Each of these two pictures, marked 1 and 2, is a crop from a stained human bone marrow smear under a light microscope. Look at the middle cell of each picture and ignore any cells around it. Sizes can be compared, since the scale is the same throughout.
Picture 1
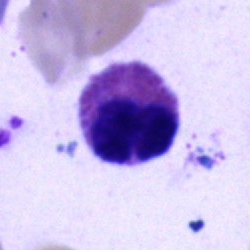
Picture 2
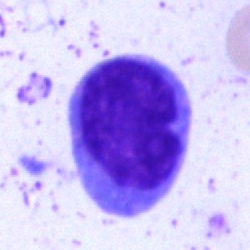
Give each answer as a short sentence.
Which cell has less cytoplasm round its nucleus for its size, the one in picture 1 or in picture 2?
It is the cell in picture 2 that is filled more by its nucleus.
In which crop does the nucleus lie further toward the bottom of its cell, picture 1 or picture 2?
It is the nucleus in picture 1 that lies further toward the bottom of its cell.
